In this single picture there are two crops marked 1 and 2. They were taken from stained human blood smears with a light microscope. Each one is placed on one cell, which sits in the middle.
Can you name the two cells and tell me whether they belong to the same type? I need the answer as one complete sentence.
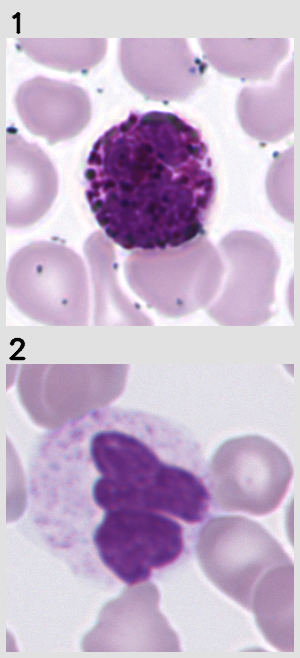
No, crop 1 represents a basophil, and crop 2 represents a neutrophil.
